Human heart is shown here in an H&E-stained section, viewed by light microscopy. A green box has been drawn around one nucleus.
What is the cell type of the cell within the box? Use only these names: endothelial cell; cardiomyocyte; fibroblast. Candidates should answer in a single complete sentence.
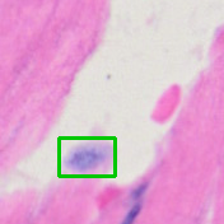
Placed in its cell category, the cell within the box is a fibroblast.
